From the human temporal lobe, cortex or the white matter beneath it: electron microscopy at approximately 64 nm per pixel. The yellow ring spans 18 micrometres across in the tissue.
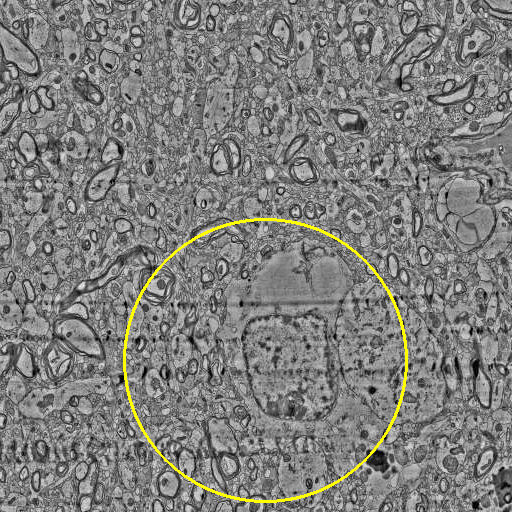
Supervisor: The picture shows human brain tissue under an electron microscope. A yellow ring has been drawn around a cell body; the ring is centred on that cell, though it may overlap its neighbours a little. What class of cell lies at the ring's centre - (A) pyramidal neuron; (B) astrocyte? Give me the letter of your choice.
B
